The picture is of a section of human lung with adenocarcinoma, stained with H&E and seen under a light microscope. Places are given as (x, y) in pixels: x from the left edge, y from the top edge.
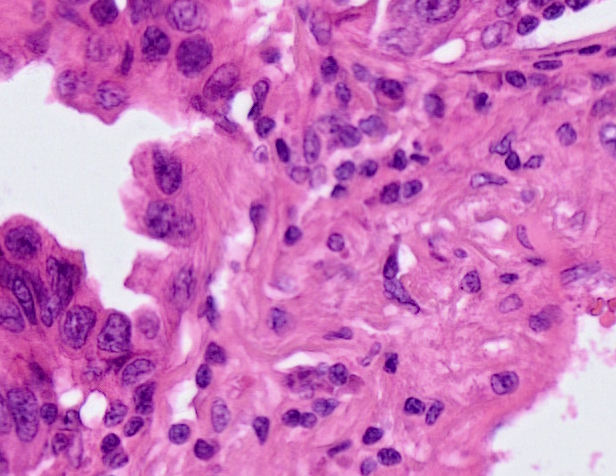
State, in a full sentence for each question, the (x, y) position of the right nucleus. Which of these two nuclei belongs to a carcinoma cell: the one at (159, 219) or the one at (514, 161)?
Located at (159, 219), this nucleus is the one belonging to a carcinoma cell.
